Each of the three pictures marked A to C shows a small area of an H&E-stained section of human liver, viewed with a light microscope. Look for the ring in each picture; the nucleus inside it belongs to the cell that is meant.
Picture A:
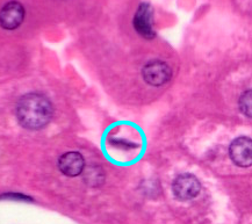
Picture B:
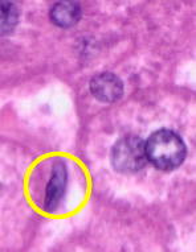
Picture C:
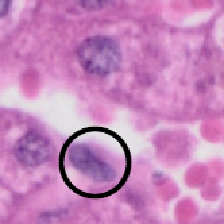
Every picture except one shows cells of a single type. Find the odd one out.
A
